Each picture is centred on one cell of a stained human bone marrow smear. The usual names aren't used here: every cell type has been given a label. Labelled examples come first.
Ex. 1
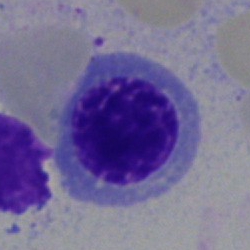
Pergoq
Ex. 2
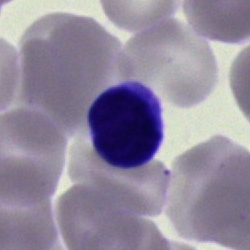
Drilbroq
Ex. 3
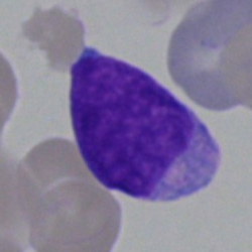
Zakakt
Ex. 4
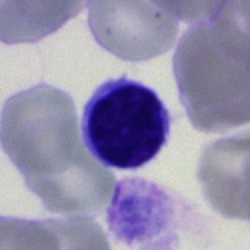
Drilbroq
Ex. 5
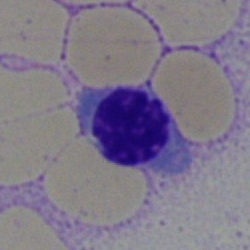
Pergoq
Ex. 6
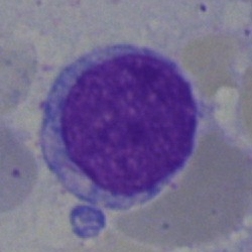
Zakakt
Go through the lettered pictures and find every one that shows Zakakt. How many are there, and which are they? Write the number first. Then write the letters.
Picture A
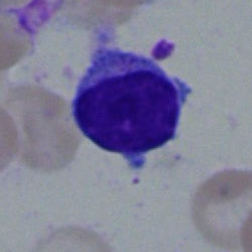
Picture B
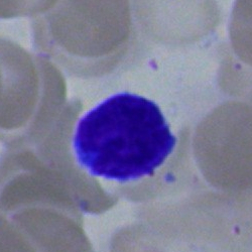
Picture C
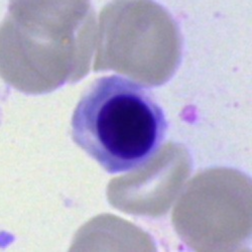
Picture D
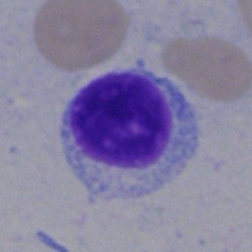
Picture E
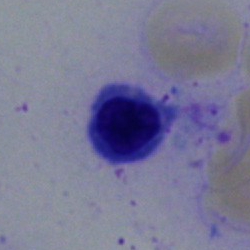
0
